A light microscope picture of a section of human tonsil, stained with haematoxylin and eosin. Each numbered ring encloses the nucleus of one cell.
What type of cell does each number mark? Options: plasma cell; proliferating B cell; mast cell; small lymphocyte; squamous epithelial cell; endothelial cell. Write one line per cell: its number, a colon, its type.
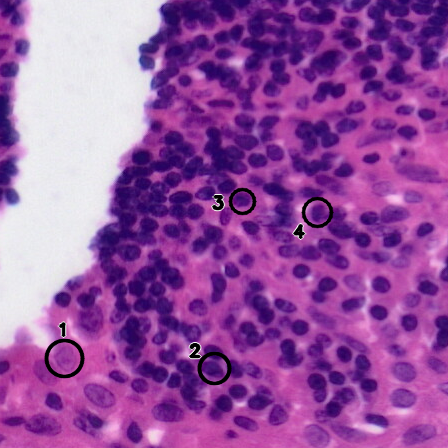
1: squamous epithelial cell
2: plasma cell
3: plasma cell
4: plasma cell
